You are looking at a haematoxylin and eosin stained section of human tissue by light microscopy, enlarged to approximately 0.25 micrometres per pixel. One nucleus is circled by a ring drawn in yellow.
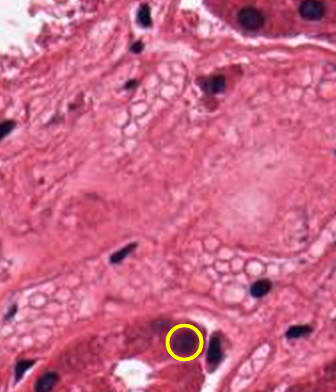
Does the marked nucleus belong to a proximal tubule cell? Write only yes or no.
yes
